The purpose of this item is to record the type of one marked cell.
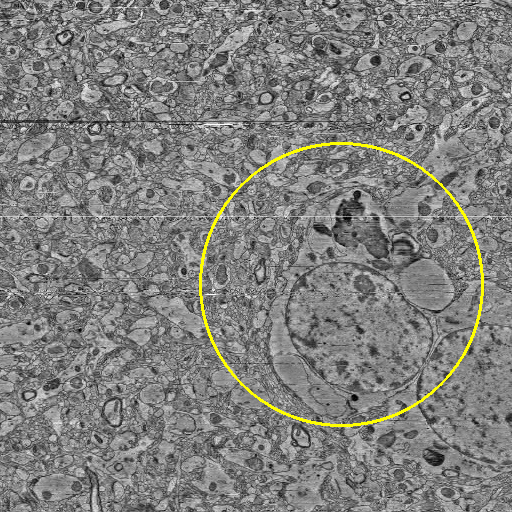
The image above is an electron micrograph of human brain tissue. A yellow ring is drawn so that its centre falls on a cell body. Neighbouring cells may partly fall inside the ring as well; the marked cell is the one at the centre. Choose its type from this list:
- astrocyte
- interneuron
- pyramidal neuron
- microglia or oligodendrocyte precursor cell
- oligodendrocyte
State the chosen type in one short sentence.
What the ring marks here is an astrocyte.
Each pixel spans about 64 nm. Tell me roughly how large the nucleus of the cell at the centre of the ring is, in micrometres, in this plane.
The nucleus appears roughly 10 by 8 micrometres in this plane.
